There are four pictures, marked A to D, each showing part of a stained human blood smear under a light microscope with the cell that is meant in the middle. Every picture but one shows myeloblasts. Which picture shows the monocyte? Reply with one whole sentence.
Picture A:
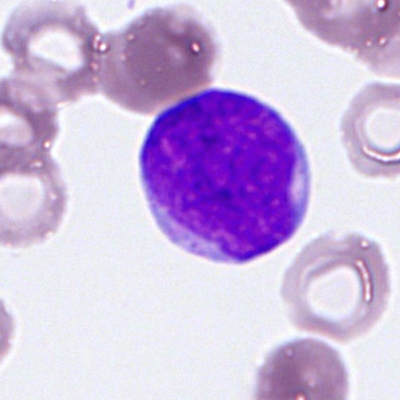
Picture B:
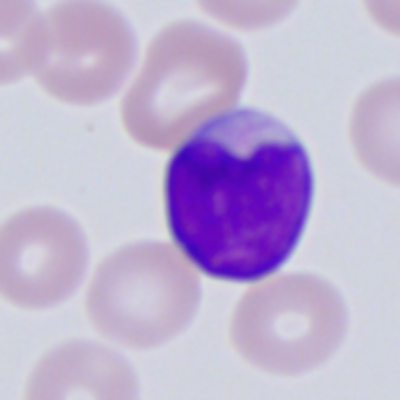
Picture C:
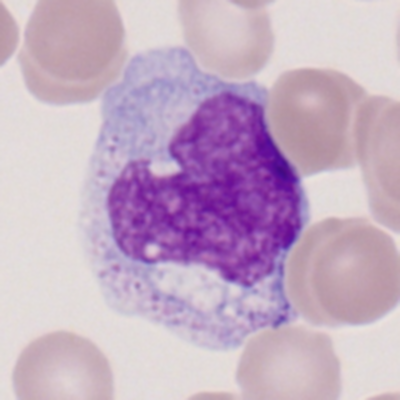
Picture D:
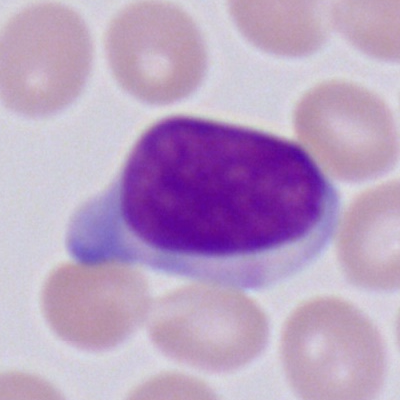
The cell in picture C is the monocyte.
